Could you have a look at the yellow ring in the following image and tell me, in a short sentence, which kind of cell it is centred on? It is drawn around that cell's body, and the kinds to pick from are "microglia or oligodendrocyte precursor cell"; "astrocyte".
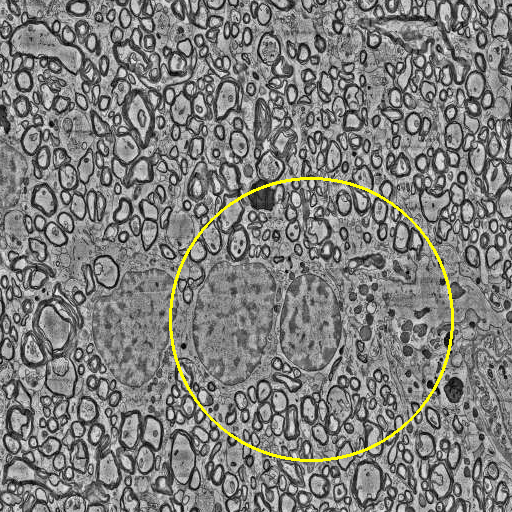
The ring is centred on the body of a microglial cell or oligodendrocyte precursor cell.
